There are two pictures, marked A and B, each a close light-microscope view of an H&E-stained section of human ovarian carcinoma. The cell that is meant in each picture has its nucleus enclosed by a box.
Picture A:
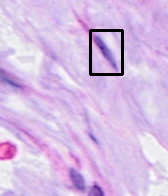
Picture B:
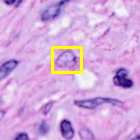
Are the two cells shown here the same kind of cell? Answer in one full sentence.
Yes, they are the same type: both are fibroblasts.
